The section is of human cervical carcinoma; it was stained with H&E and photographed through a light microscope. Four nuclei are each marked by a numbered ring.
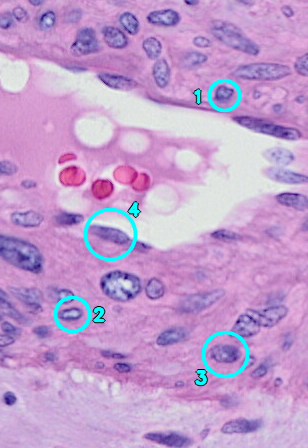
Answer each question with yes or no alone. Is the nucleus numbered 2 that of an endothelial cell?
no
